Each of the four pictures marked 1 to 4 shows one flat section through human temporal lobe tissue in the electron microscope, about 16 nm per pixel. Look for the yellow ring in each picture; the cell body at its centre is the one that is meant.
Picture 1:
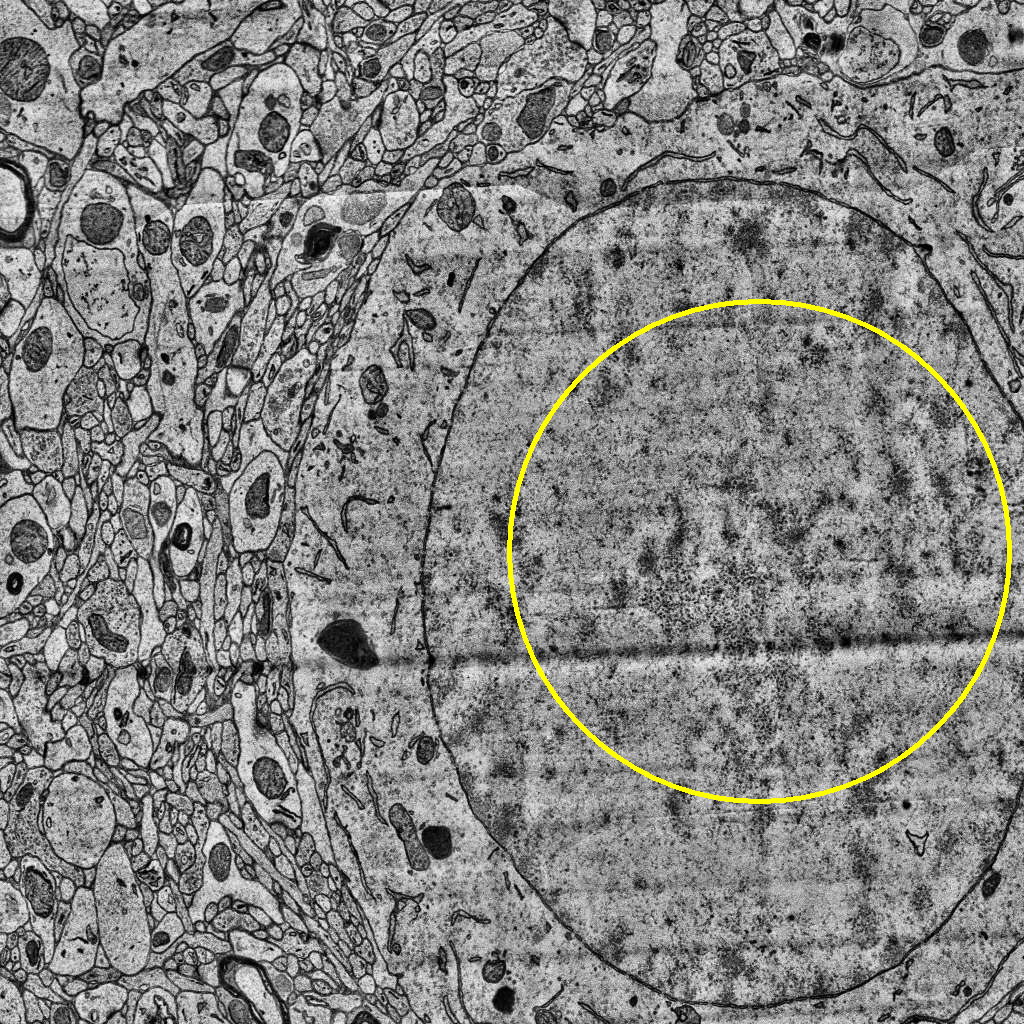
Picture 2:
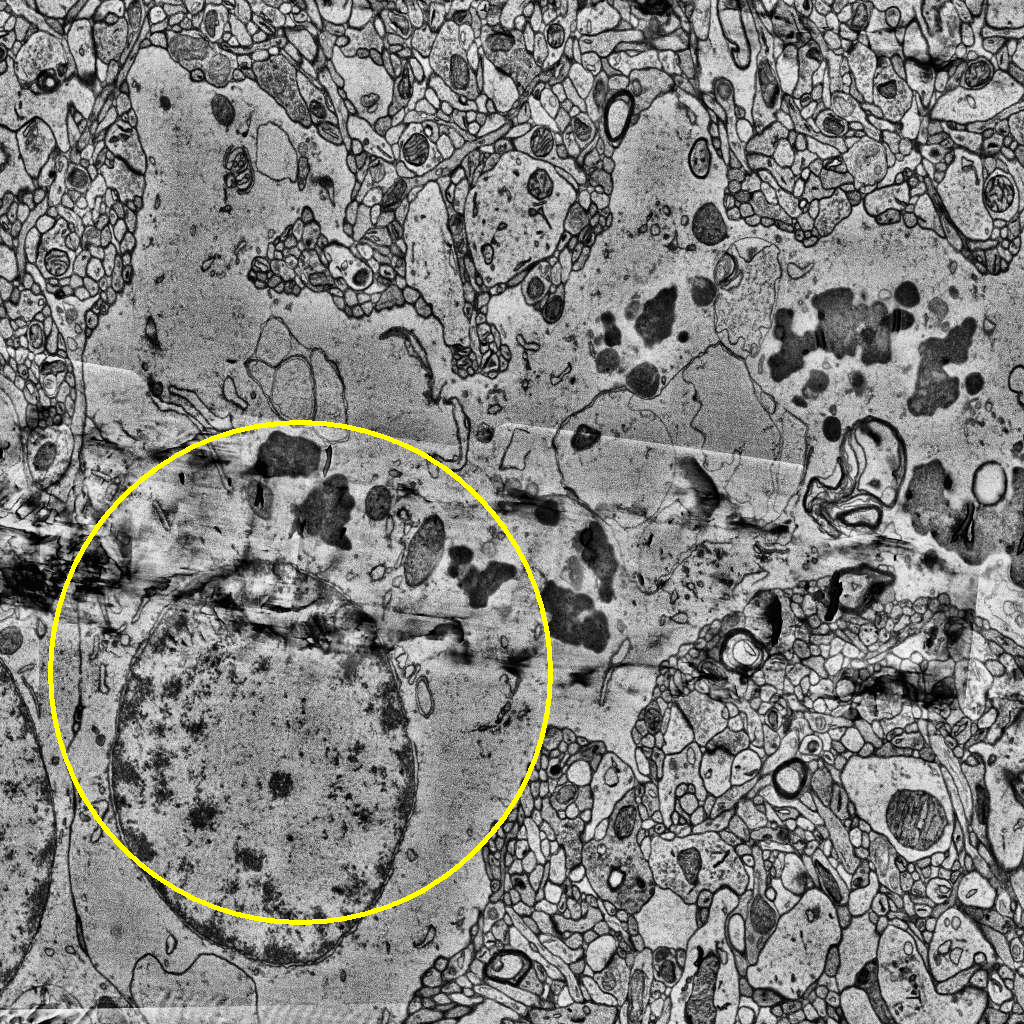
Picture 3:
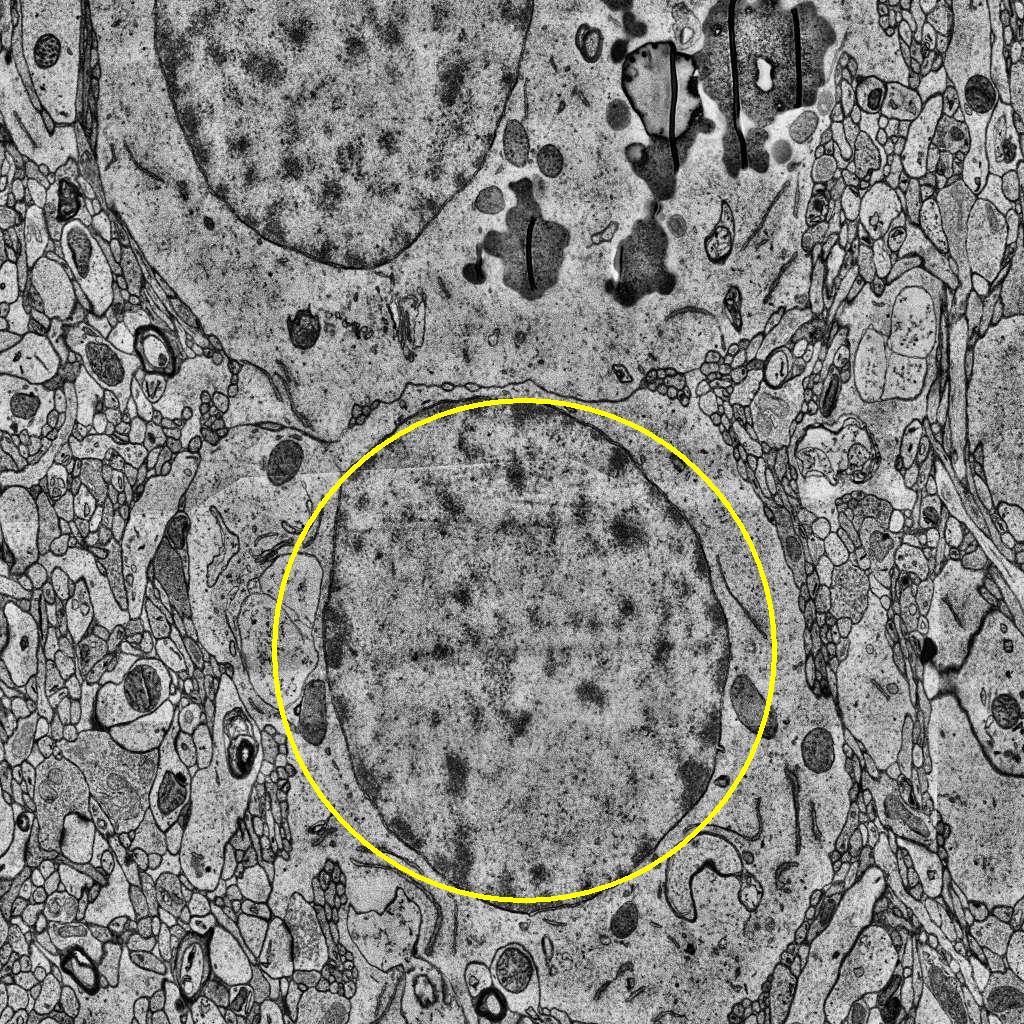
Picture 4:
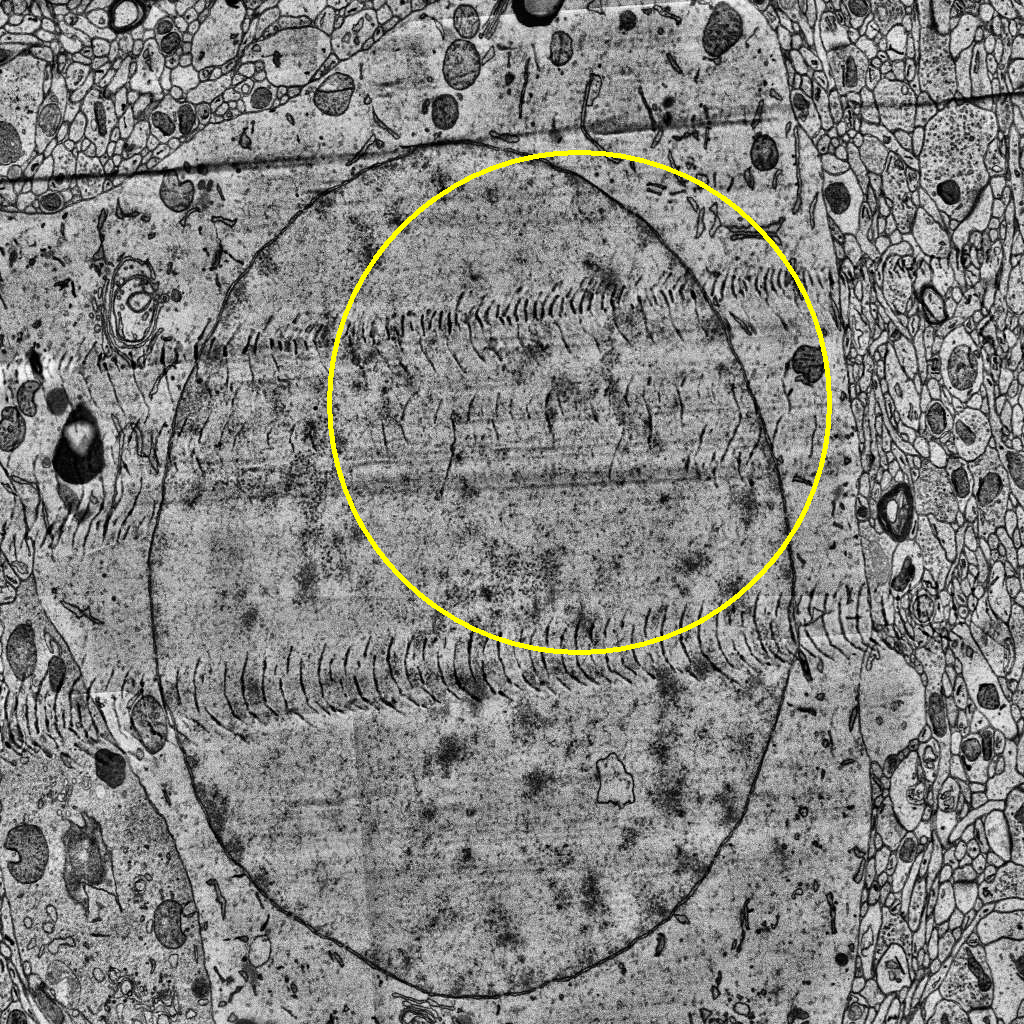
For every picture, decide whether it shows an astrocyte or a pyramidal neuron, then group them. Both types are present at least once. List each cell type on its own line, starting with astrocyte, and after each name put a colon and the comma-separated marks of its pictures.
astrocyte: 2, 3
pyramidal neuron: 1, 4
